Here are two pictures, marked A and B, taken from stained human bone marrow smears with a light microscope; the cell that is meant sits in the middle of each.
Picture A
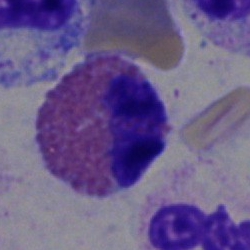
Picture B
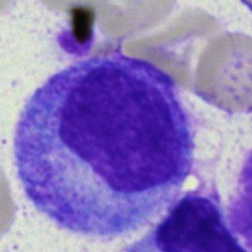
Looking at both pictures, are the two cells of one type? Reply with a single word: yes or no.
no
